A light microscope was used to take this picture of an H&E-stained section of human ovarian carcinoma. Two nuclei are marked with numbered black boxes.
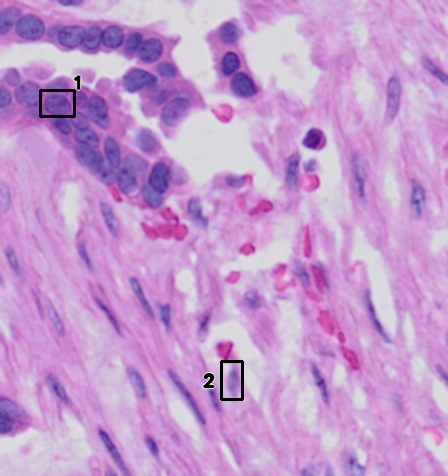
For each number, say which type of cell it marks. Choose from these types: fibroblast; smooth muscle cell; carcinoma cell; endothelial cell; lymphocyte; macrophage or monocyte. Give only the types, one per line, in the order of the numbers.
carcinoma cell
fibroblast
